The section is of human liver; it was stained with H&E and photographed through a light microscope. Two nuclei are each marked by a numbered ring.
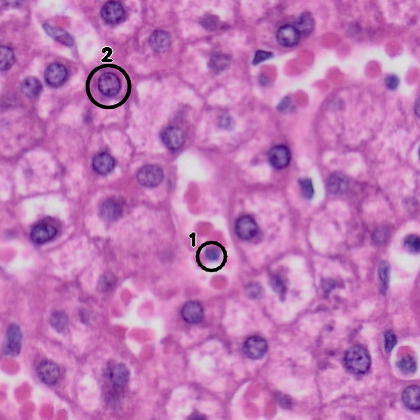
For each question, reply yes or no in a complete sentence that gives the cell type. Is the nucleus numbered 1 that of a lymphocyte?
Yes, the cell with the number 1 is a lymphocyte.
